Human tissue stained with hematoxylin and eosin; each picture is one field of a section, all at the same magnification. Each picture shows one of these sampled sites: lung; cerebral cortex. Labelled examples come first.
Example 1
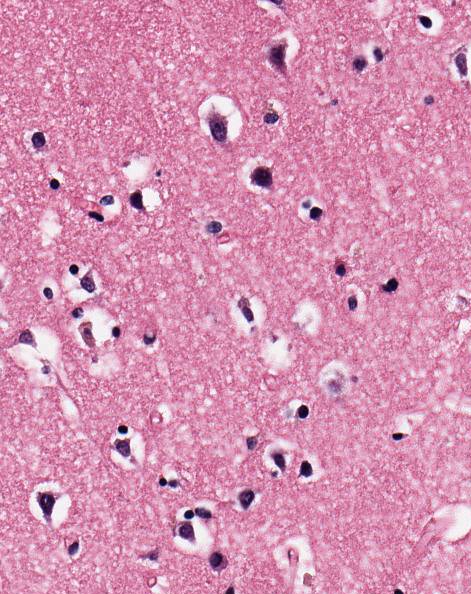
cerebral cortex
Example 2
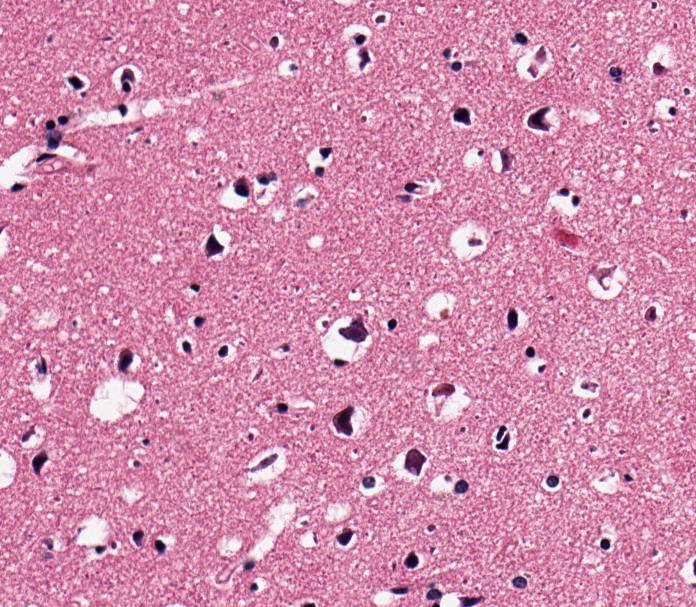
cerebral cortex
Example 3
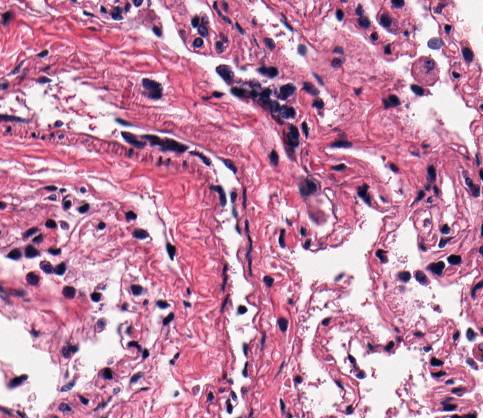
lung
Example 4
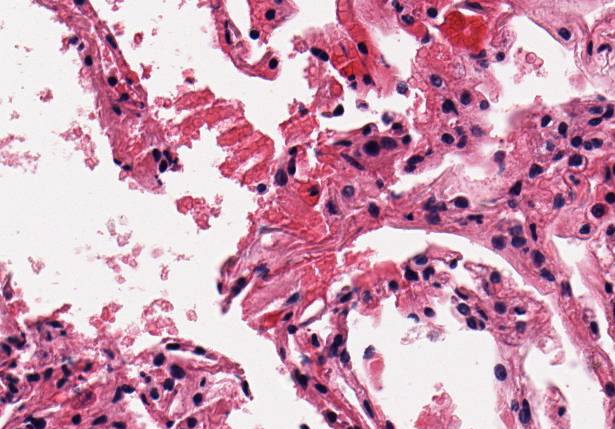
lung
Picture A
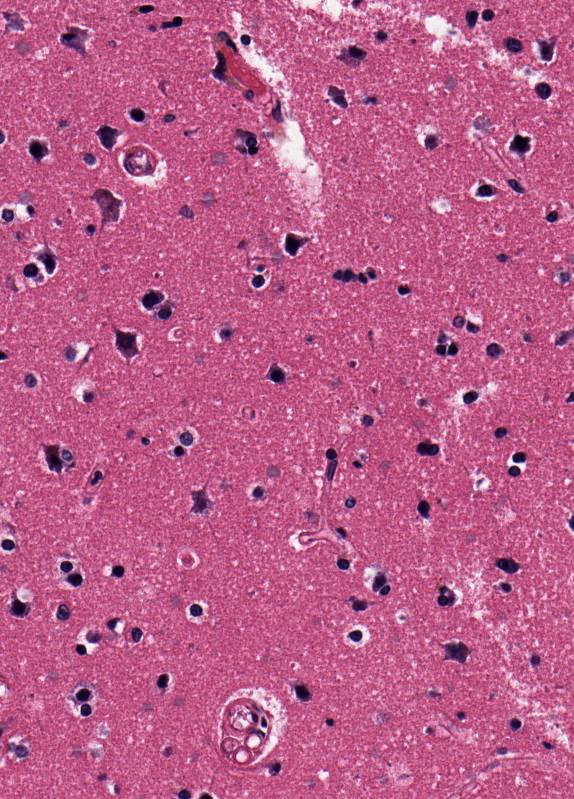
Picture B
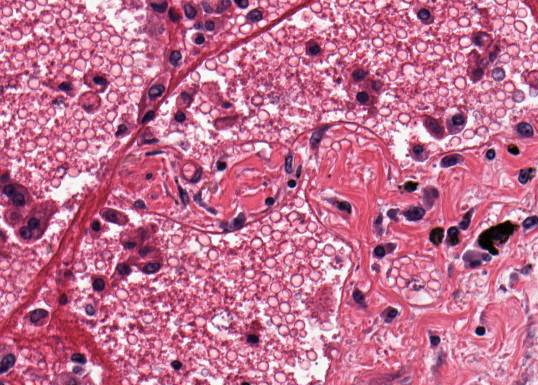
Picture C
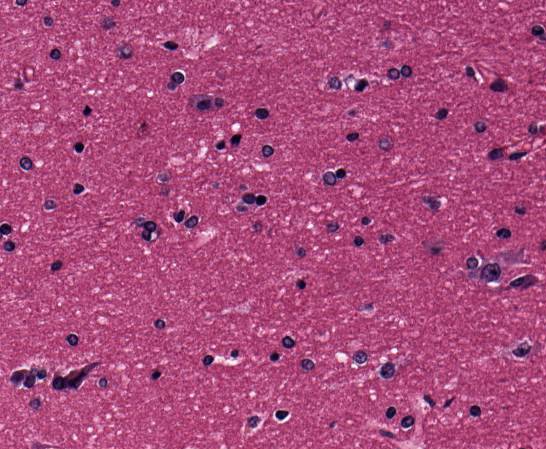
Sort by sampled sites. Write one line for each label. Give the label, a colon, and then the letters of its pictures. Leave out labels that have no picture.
lung: B
cerebral cortex: A, C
